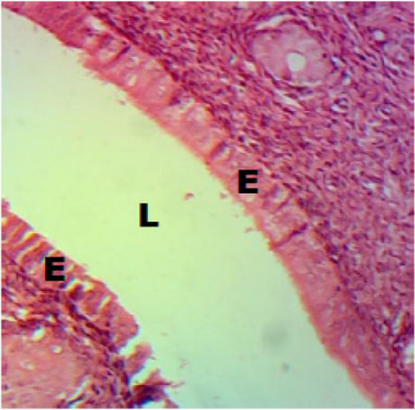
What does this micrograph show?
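A pale cavity runs diagonally across the field, bordered on both sides by a tall pink epithelial lining in which the cells stand side by side as elongated columns with nuclei near their bases. Under the lining on the right lies a dense stroma of closely packed, spindle-shaped cells with dark elongated nuclei, and a round gland sits in the stroma at the upper right.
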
